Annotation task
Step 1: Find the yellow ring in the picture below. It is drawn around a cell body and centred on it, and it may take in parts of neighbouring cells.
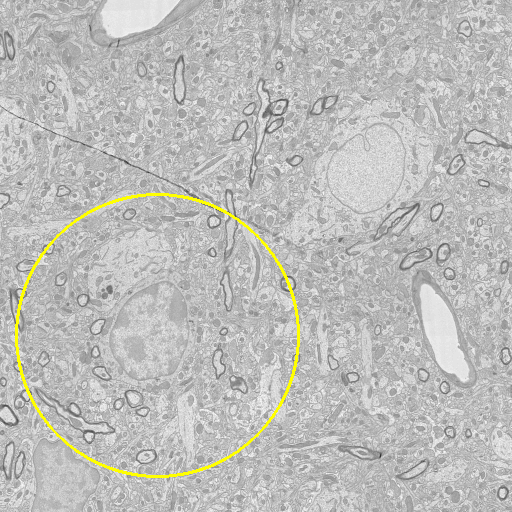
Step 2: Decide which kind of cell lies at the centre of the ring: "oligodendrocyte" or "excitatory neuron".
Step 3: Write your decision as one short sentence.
The kind of cell at the ring's centre is an oligodendrocyte.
